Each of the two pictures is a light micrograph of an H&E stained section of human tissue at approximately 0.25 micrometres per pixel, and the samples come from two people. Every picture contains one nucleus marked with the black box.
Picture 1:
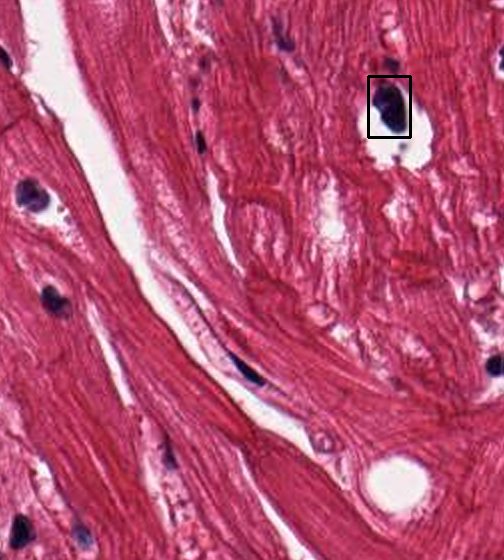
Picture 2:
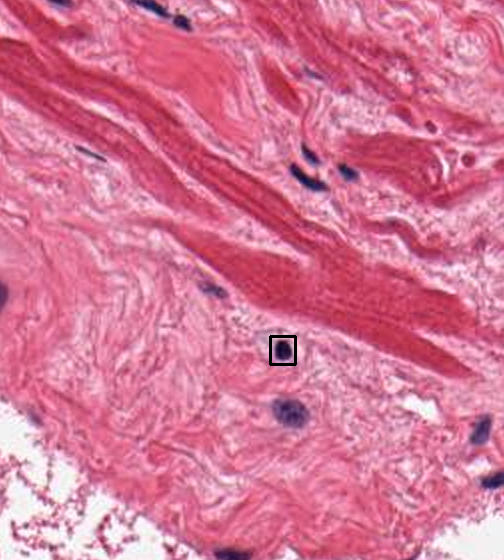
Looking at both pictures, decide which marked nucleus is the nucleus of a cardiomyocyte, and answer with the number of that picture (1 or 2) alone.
1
